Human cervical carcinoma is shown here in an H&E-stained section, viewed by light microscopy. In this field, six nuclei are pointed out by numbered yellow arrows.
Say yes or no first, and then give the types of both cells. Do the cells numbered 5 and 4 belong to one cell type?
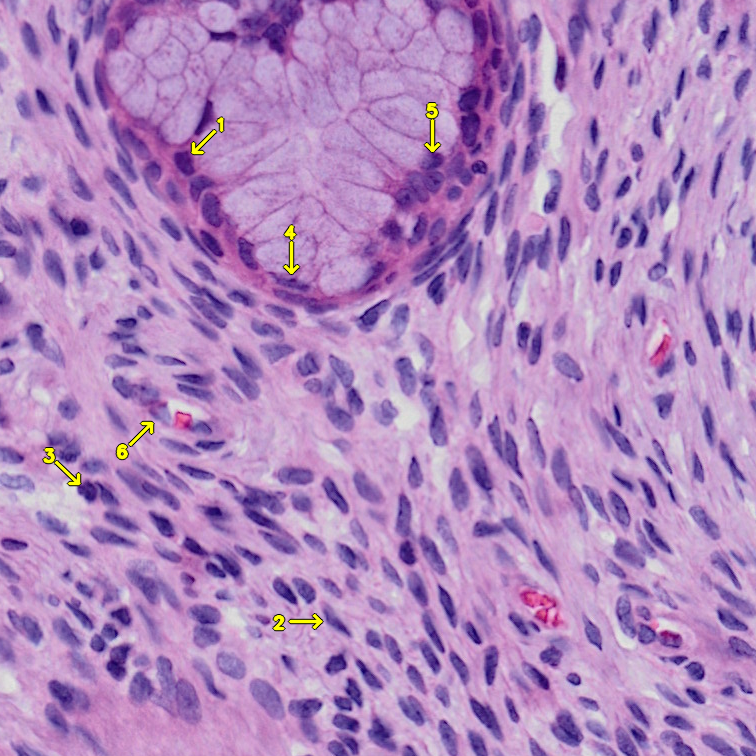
Yes, it is as secretory epithelial cells that cells 5 and 4 are both classified.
